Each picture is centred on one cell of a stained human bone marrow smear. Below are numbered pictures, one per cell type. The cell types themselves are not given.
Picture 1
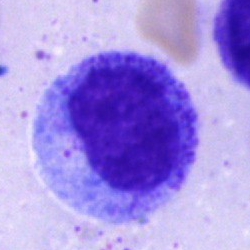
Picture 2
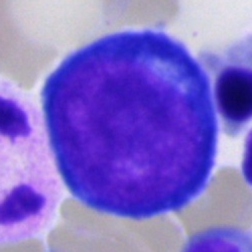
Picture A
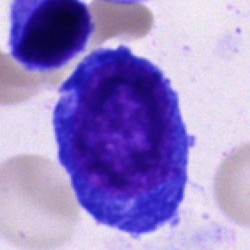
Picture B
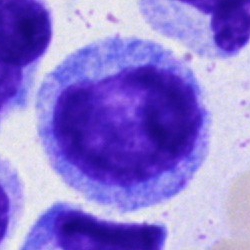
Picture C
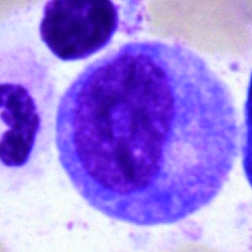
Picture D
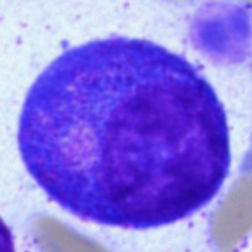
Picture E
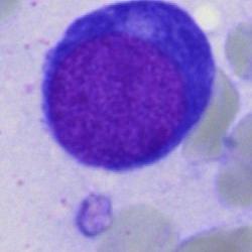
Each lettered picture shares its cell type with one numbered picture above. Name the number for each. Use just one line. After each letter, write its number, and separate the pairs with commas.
A 2, B 1, C 1, D 1, E 2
